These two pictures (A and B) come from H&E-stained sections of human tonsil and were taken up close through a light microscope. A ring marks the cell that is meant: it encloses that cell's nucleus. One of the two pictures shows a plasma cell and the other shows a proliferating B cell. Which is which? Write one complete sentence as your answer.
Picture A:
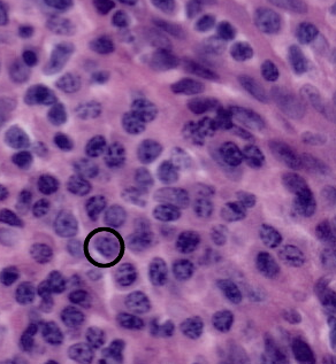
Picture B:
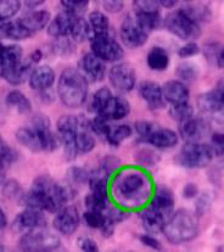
The cell in picture A is a plasma cell, and the one in picture B is a proliferating B cell.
